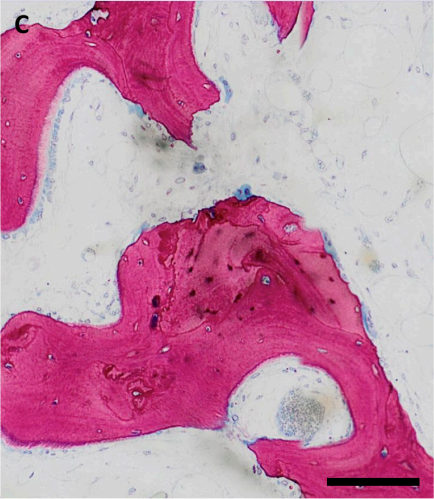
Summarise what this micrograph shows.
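Trabeculae of newly formed bone, stained deep pink, branch through the field, with small dark osteocytes lying in lacunae within the matrix. Along parts of the bone surfaces a thin rim of blue-stained cells lines the bone, as osteoblasts do on newly deposited bone. The spaces between the trabeculae hold pale, loose fibrovascular tissue and large round, empty-looking adipocytes. In a rounded hollow at the lower right of the bone lies a small vessel packed with granular content.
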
